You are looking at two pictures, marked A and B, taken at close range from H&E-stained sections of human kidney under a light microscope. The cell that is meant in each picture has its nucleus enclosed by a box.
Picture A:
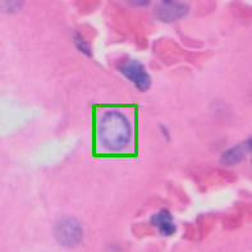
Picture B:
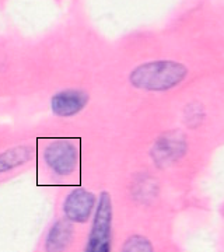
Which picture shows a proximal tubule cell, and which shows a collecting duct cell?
A: proximal tubule cell
B: collecting duct cell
